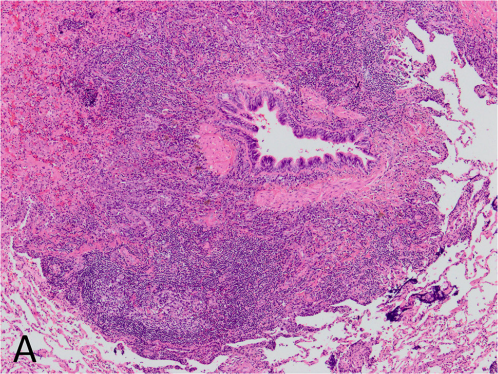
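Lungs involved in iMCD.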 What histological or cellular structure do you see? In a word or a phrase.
bronchiole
